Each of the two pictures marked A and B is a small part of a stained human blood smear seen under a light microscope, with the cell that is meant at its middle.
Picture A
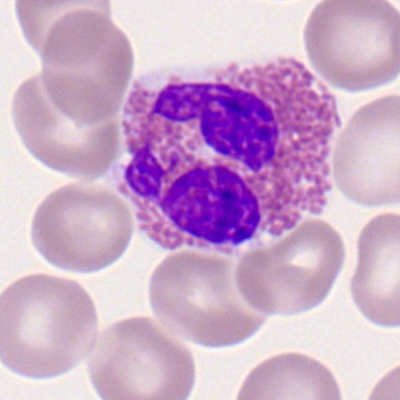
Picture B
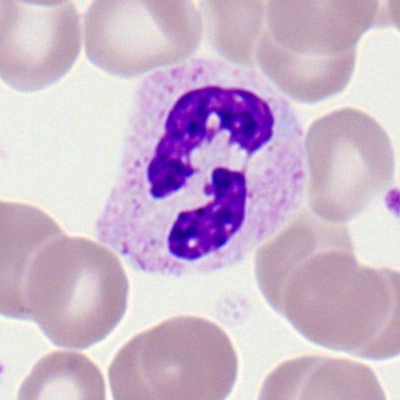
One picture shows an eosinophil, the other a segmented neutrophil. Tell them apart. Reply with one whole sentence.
In picture A the cell is an eosinophil; in picture B, a segmented neutrophil.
